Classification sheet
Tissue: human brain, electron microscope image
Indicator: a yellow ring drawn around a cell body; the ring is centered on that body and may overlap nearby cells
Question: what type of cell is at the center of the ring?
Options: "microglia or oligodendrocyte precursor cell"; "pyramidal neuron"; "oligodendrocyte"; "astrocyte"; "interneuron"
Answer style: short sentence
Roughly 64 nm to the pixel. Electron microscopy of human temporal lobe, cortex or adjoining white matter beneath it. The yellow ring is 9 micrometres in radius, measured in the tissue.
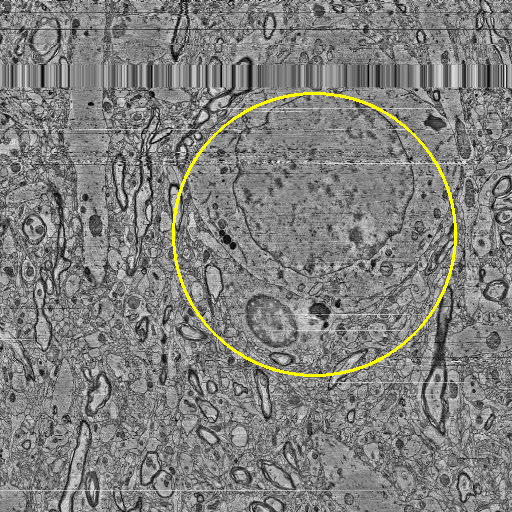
At the ring's center is a pyramidal neuron.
